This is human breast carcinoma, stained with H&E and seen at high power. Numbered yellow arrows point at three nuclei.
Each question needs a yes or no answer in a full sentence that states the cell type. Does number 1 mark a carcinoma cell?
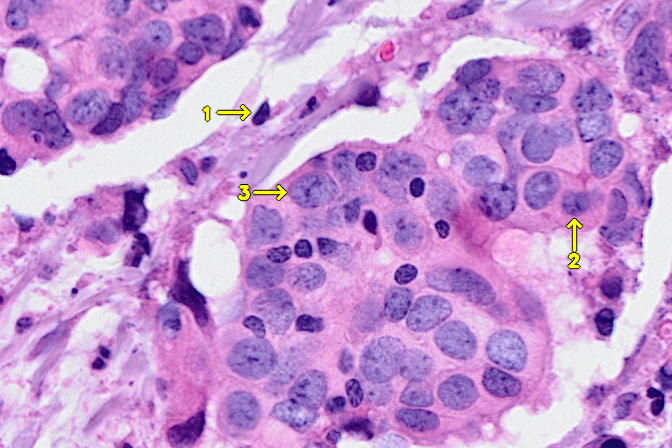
No, the cell given number 1 is a lymphocyte, not a carcinoma cell.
